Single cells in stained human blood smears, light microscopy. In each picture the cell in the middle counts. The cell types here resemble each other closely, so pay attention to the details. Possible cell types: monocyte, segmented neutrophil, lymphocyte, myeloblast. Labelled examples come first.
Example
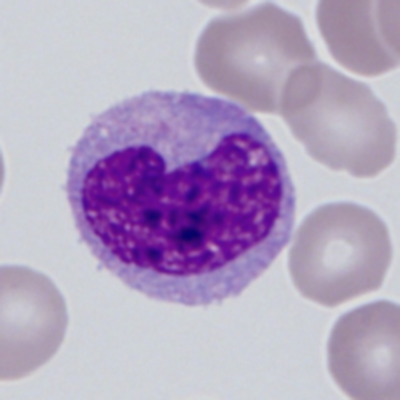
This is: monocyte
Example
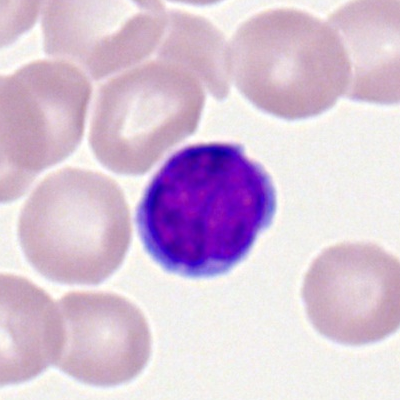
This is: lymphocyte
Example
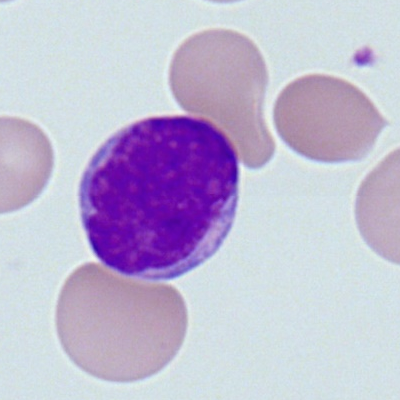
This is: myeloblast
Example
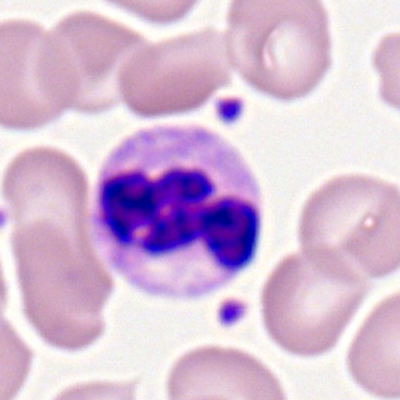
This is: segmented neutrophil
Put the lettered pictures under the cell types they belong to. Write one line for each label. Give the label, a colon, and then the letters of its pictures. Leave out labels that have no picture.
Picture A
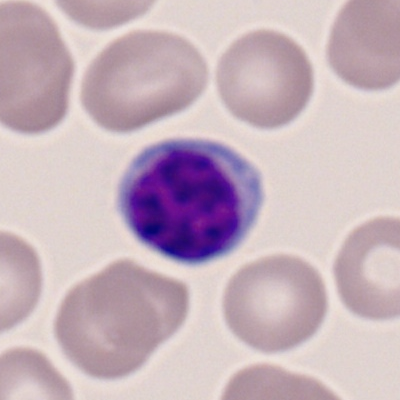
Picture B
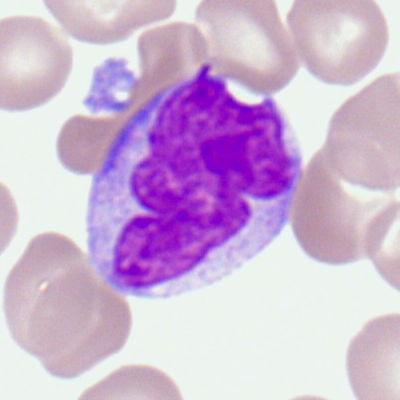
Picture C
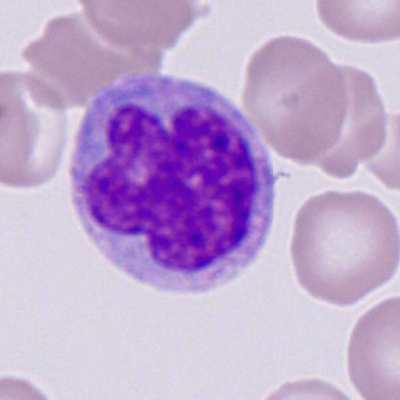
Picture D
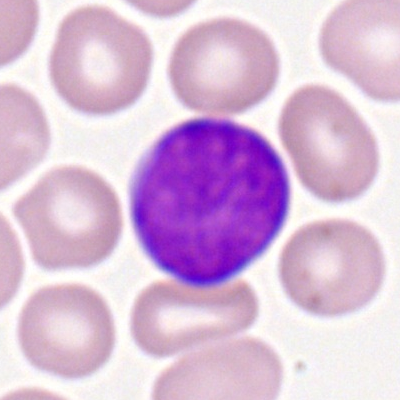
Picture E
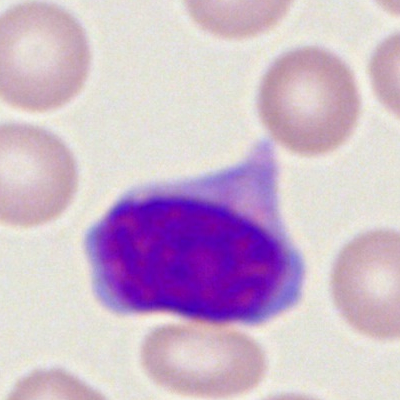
monocyte: B, C
lymphocyte: A, E
myeloblast: D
